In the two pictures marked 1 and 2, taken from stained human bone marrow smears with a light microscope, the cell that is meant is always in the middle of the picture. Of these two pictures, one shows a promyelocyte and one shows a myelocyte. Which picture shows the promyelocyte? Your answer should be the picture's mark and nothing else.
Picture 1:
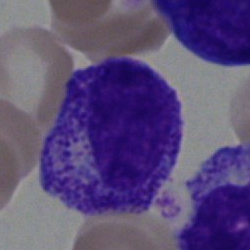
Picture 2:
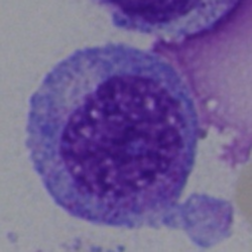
2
